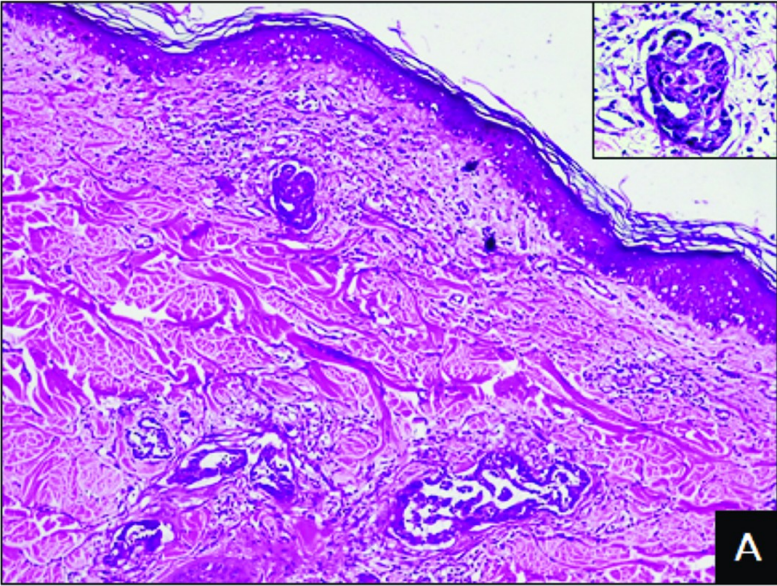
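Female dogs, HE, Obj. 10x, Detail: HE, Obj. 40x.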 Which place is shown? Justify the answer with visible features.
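A keratinized stratified squamous epidermis runs along the top edge. Small clusters of dark purple cells lie within spaces in the collagenous connective tissue beneath the epidermis. The answer: superficial dermis.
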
